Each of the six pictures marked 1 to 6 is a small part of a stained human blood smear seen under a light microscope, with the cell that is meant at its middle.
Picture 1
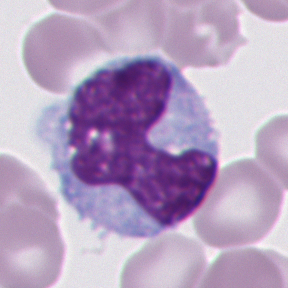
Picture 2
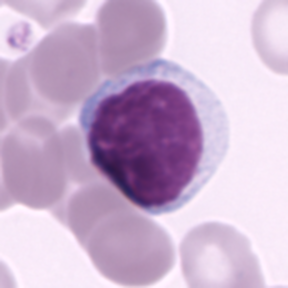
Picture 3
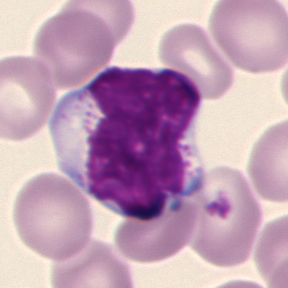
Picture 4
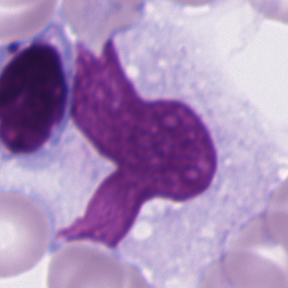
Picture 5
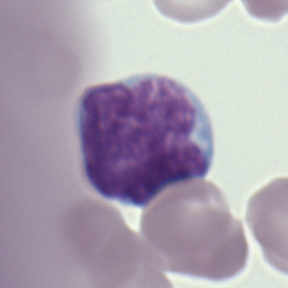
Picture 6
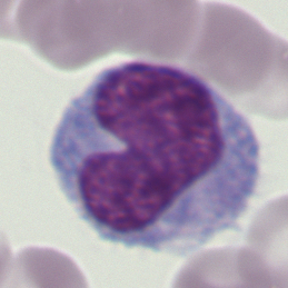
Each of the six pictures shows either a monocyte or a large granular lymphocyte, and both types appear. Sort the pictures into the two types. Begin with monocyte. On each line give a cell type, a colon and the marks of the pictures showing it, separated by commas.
monocyte: 1, 4, 5, 6
large granular lymphocyte: 2, 3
